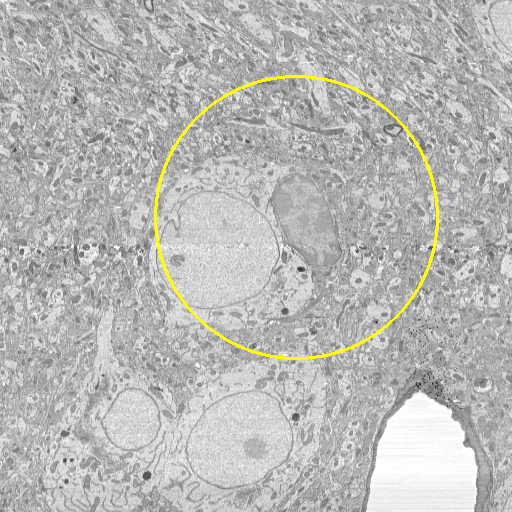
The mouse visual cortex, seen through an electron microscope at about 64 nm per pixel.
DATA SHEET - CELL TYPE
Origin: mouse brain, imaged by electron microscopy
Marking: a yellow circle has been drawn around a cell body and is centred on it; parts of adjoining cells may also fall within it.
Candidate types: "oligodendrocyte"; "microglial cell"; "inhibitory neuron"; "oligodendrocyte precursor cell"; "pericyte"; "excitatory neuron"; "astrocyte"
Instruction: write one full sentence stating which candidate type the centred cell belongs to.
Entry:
The cell body at the centre of the yellow ring in this micrograph belongs to a microglial cell.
